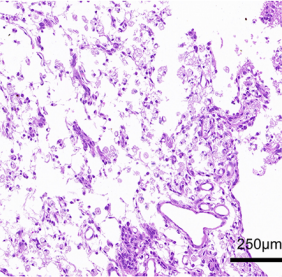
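The tissue is loose and spongy, broken up by many empty spaces and strands of pink material. Scattered cells with small dark purple nuclei lie throughout, gathered more densely in places. A thin-walled blood vessel lumen lies near the lower centre.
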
